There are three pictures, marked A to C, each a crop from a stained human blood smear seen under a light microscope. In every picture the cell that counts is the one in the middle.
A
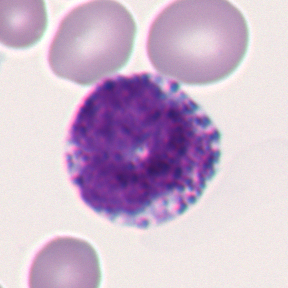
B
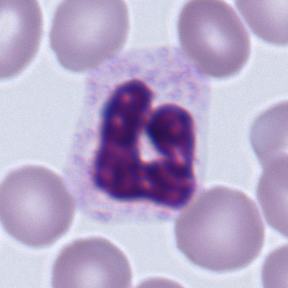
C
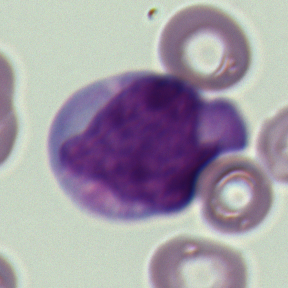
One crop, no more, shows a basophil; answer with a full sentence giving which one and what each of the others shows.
The cell sitting in crop A is a basophil, while crop B is a segmented neutrophil and crop C is an atypical promyelocyte.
